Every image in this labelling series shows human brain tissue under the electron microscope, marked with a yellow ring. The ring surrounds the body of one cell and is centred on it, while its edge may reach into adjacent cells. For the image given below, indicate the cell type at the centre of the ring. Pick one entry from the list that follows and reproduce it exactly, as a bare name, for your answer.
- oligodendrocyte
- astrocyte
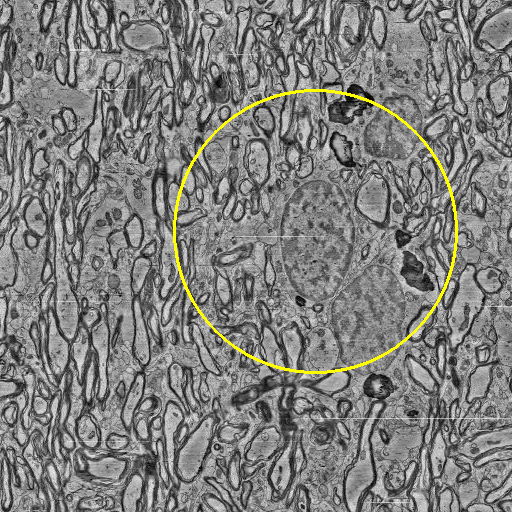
oligodendrocyte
